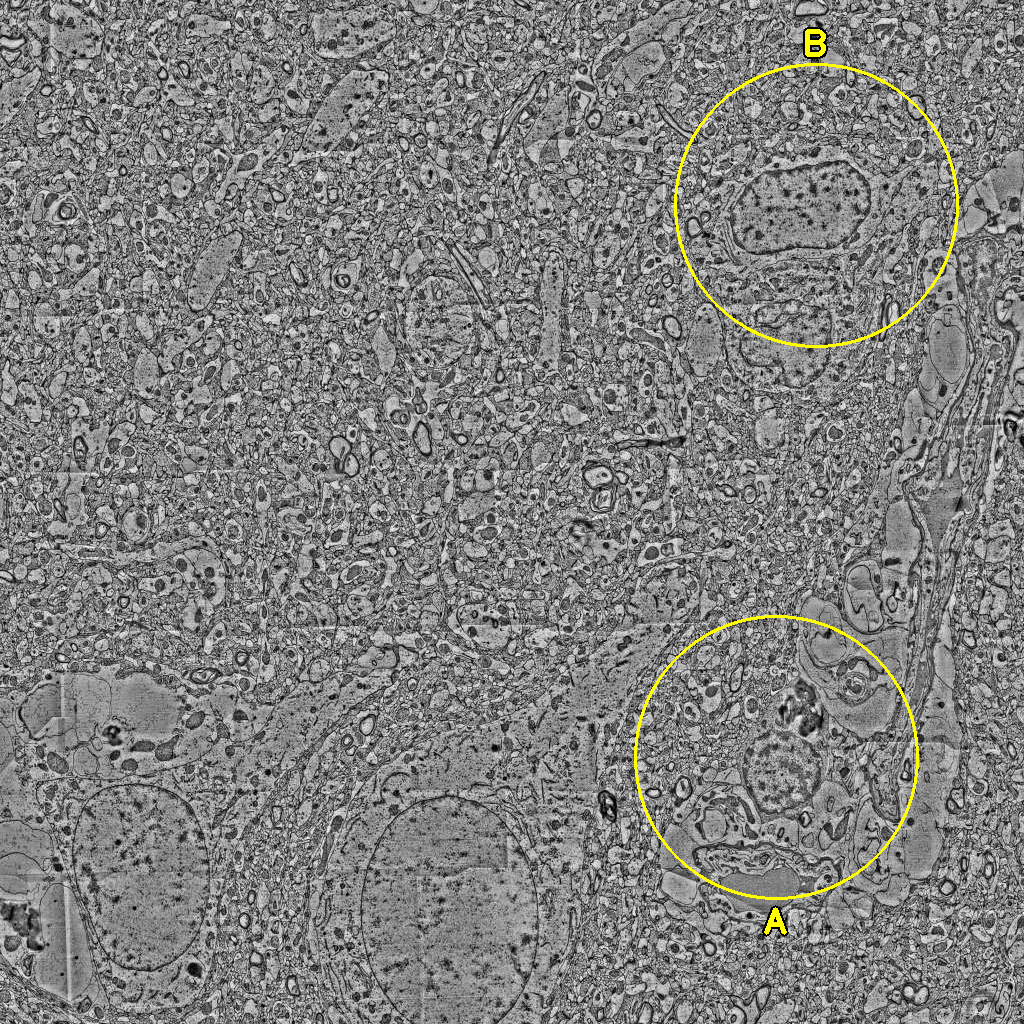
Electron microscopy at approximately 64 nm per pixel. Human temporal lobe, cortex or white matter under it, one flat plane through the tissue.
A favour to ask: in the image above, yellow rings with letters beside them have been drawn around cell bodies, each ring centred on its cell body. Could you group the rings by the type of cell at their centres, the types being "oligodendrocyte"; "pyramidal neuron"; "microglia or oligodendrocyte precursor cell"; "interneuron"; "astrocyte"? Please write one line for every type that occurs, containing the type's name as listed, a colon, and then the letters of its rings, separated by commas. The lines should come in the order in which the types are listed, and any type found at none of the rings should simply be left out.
oligodendrocyte: A
microglia or oligodendrocyte precursor cell: B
